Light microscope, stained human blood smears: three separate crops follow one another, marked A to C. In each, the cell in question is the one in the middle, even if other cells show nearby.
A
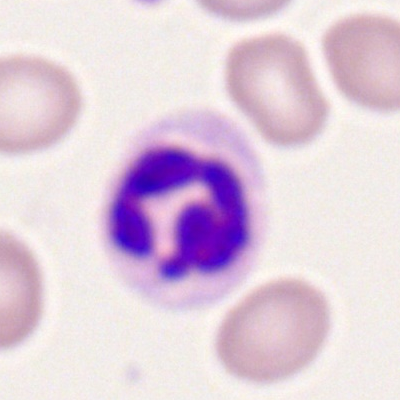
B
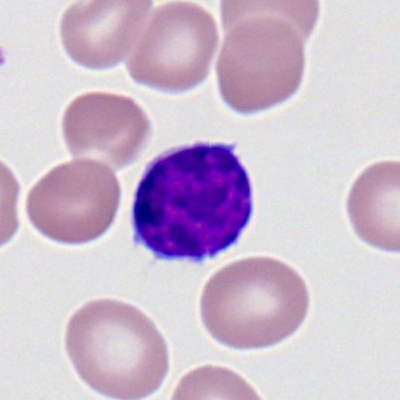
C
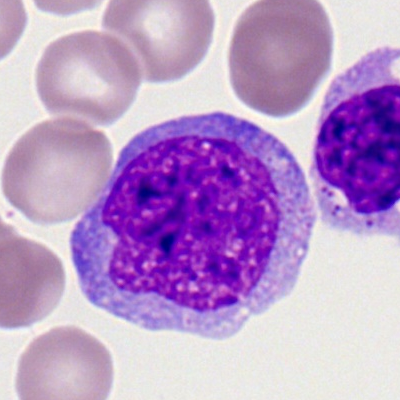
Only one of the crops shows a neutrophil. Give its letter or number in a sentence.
Crop A is the crop in which a neutrophil is shown.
